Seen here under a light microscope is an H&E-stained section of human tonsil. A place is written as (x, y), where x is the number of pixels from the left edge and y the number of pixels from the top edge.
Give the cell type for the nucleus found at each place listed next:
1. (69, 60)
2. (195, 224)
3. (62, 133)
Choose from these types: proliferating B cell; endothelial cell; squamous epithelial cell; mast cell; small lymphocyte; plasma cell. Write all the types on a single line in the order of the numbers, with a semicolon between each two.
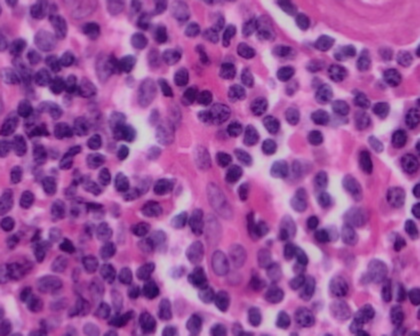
small lymphocyte; endothelial cell; small lymphocyte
